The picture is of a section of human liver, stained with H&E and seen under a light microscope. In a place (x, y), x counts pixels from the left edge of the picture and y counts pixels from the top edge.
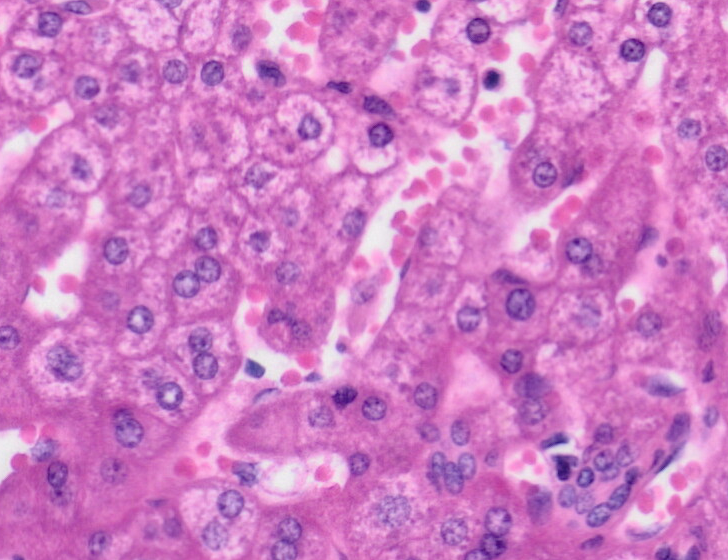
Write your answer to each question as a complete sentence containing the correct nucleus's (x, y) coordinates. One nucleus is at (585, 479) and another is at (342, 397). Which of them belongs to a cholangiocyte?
It is the nucleus at (585, 479) that belongs to a cholangiocyte.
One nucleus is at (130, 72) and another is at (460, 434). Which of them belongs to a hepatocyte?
So, of the two, the nucleus at (130, 72) is the one belonging to a hepatocyte.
